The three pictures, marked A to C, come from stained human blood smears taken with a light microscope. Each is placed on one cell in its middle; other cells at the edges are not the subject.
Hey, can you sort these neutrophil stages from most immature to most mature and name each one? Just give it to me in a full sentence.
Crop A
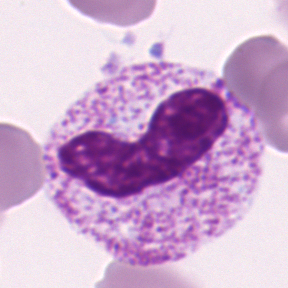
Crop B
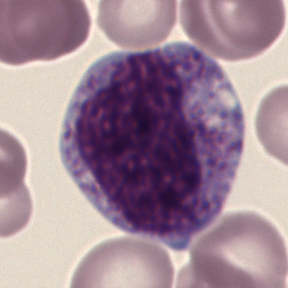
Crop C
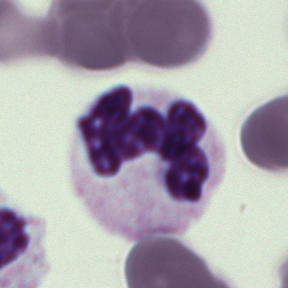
Increasing in maturity, the crops run crop B (a promyelocyte), crop A (a band neutrophil) and crop C (a segmented neutrophil).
